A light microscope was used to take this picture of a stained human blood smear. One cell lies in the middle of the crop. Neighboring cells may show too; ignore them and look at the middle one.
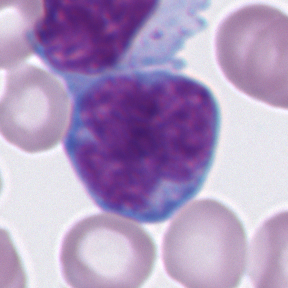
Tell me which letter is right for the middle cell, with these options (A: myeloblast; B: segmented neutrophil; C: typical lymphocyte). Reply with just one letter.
A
